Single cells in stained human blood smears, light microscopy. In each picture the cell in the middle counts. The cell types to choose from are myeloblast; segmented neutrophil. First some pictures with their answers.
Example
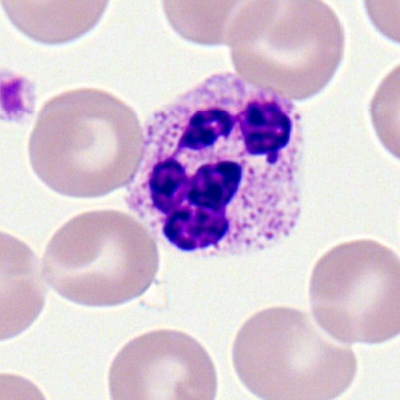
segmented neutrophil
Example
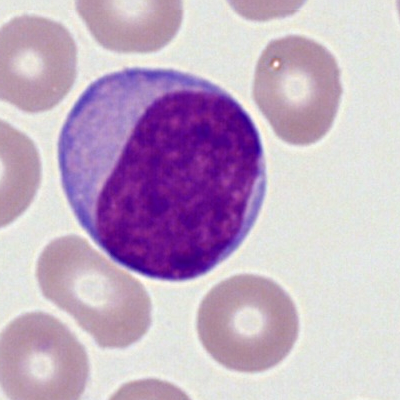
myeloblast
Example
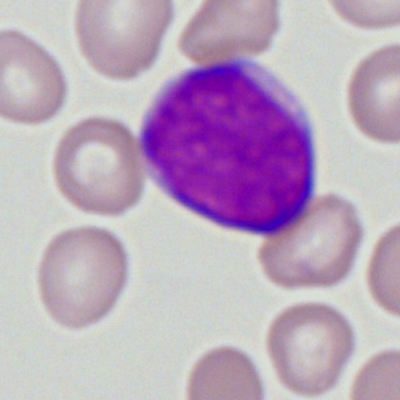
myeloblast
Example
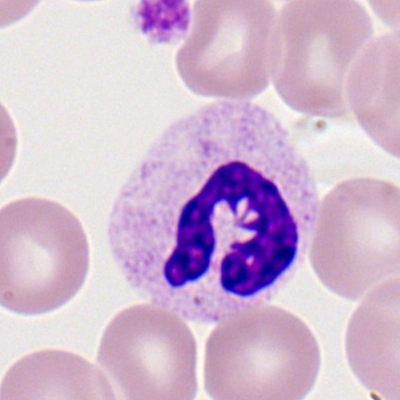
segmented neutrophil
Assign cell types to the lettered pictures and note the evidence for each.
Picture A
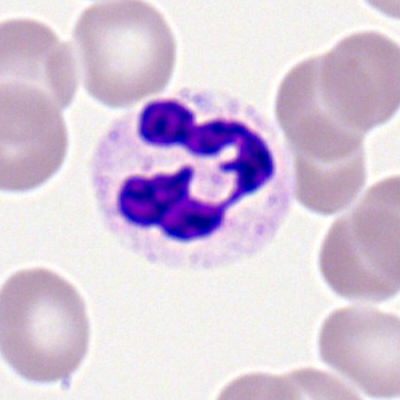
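segmented neutrophil. Evidence: The cytoplasm is plentiful and pale pink.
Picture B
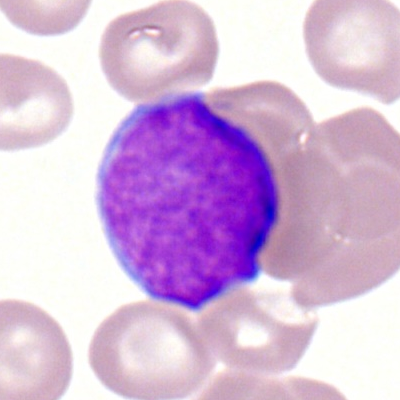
myeloblast. Evidence: The thin rim of cytoplasm is deep blue.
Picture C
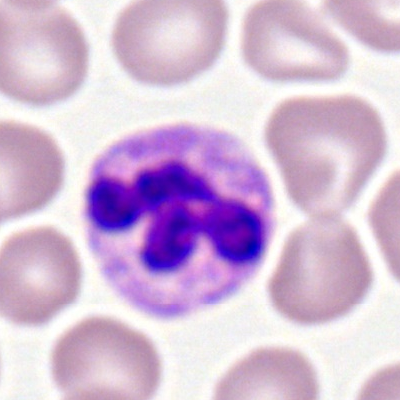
segmented neutrophil. Evidence: The cytoplasm is plentiful and pale pinkish-lilac.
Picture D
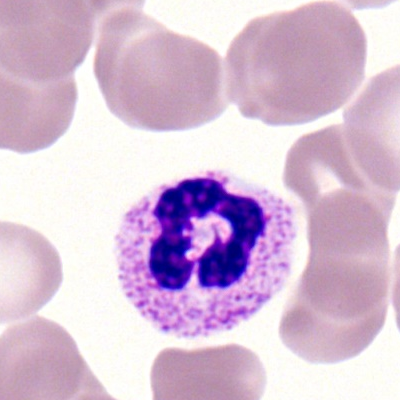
segmented neutrophil. Evidence: The cytoplasm is abundant and pale pink.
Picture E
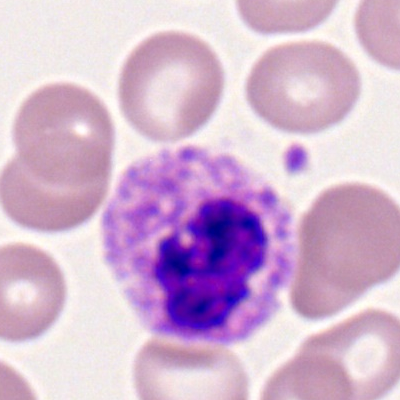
segmented neutrophil. Evidence: Numerous pinkish-lilac granules fill the cytoplasm.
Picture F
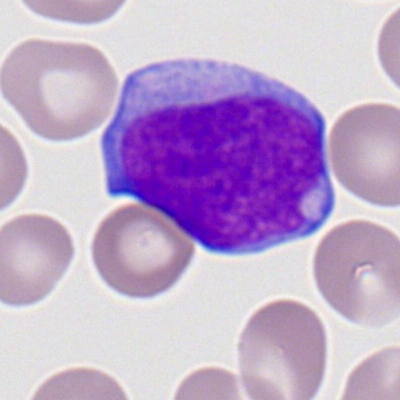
myeloblast. Evidence: The nucleus fills most of the cell, leaving the widest band of cytoplasm along the top.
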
